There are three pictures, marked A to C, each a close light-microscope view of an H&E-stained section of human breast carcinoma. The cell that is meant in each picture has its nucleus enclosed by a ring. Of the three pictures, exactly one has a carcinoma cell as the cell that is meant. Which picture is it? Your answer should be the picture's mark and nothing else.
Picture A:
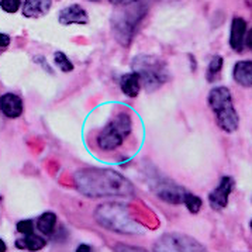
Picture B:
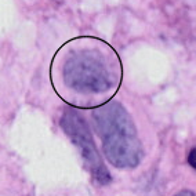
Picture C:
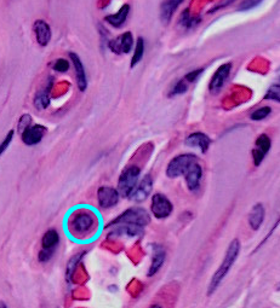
B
